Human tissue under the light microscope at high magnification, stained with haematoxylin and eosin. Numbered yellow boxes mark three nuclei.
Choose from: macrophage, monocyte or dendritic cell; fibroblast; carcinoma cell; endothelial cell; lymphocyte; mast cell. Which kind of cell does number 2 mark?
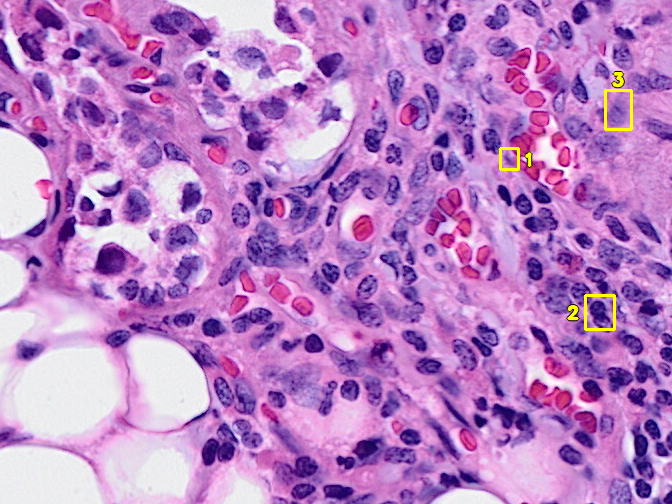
lymphocyte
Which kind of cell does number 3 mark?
endothelial cell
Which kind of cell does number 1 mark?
endothelial cell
